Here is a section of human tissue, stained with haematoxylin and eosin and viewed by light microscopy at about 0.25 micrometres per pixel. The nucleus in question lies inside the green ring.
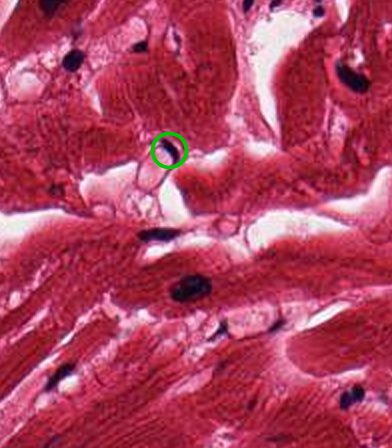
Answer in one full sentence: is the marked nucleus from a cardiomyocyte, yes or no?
No, the marked nucleus, rather than belonging to a cardiomyocyte, belongs to a supporting cell.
